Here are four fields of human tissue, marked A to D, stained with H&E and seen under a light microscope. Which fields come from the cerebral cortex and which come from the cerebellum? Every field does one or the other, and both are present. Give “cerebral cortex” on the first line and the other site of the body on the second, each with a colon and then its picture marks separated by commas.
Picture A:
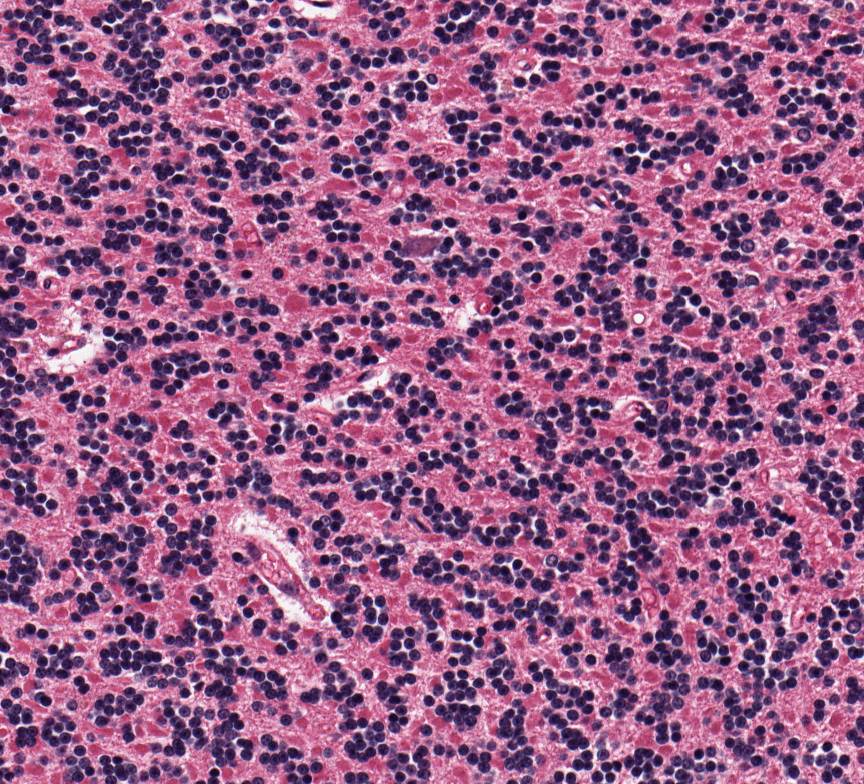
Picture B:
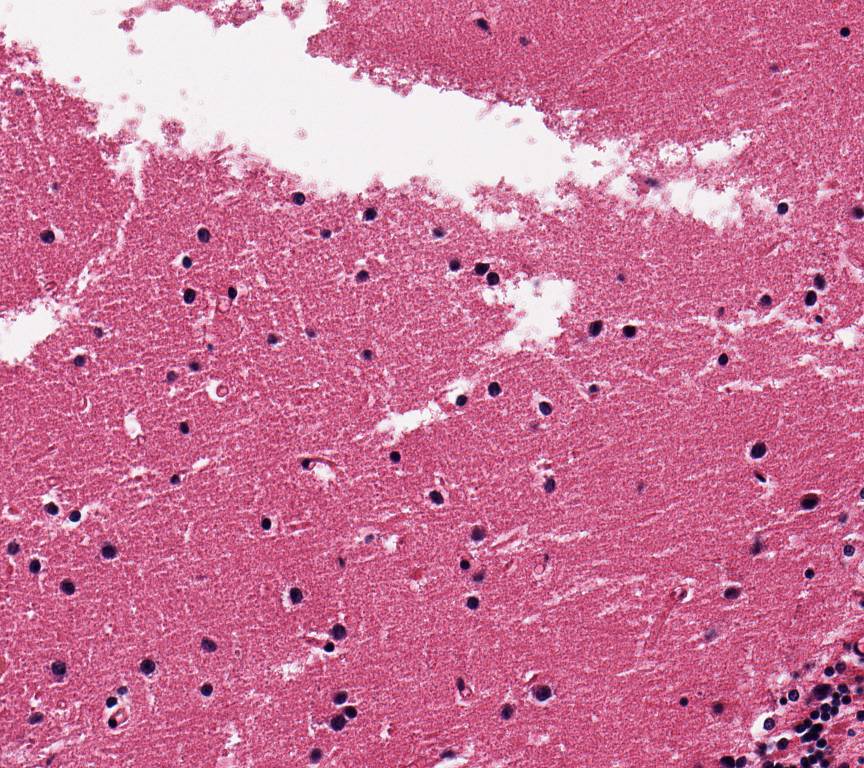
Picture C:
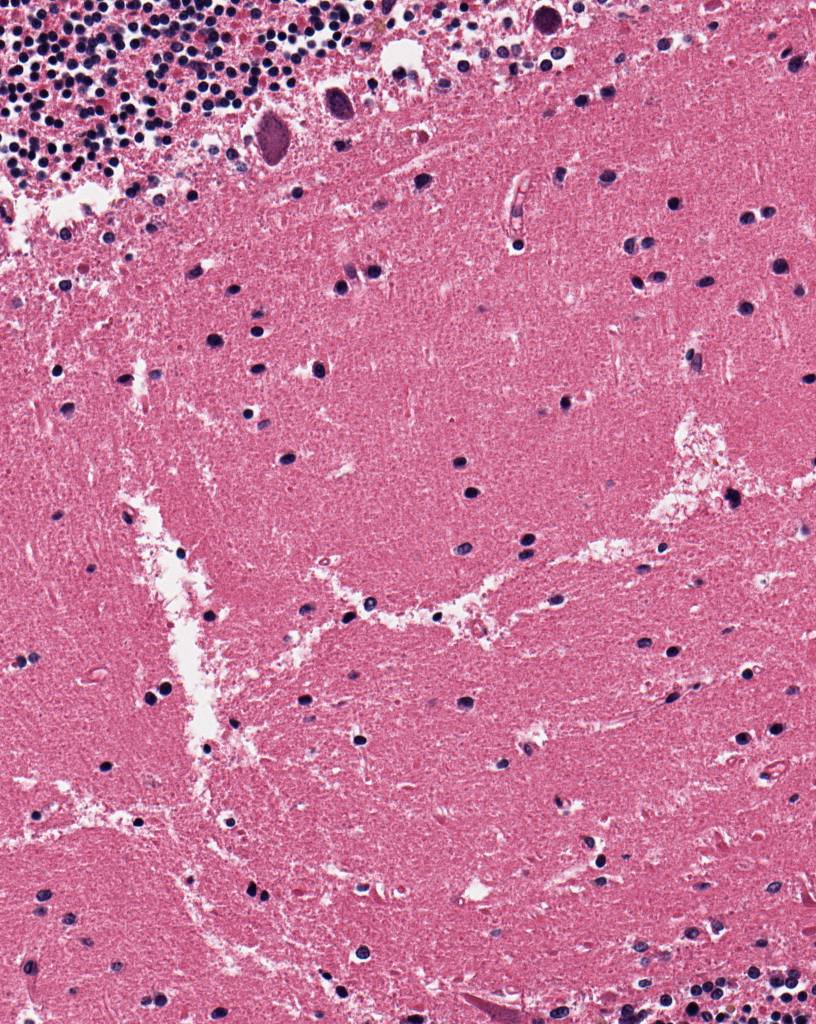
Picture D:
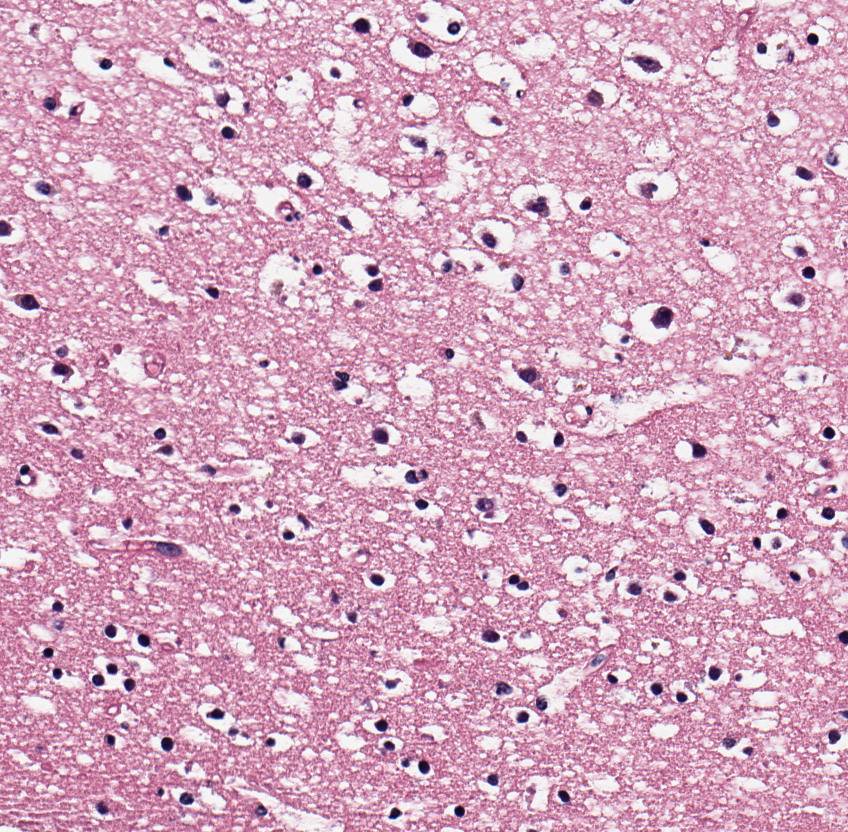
cerebral cortex: D
cerebellum: A, B, C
